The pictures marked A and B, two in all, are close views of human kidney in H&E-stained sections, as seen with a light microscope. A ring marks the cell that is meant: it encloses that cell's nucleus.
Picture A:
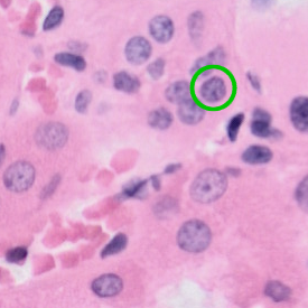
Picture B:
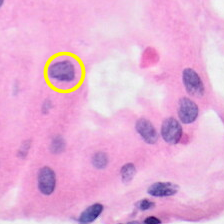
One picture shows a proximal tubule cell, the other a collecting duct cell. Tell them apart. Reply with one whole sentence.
It is picture A that shows a collecting duct cell, and picture B that shows a proximal tubule cell.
